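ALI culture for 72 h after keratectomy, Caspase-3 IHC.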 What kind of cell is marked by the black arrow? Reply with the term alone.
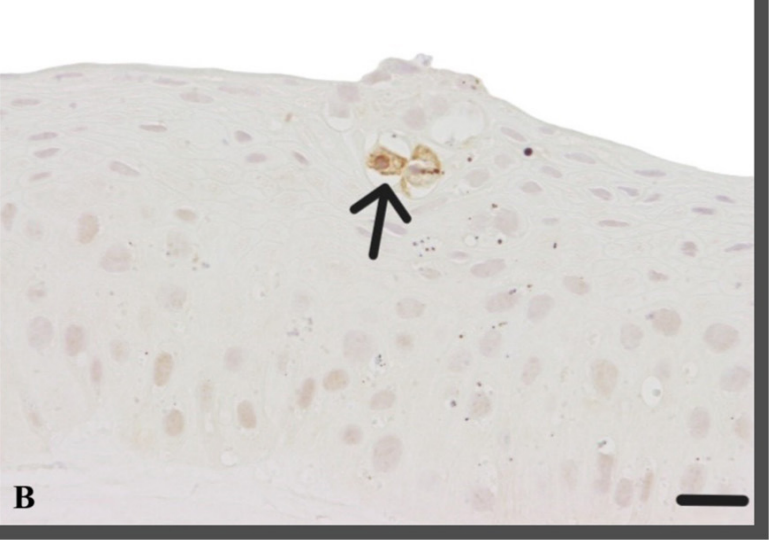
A: Epithelial cell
